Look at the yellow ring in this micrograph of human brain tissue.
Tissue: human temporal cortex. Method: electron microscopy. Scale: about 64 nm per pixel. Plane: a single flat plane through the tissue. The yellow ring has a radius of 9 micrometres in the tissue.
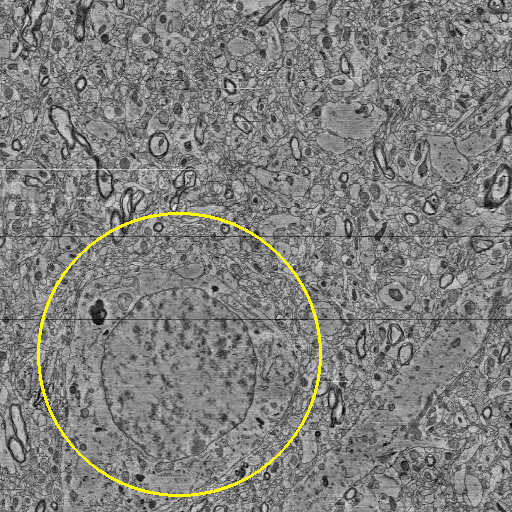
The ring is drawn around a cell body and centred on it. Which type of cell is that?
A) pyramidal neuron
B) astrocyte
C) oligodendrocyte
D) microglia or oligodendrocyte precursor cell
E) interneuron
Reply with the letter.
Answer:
A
